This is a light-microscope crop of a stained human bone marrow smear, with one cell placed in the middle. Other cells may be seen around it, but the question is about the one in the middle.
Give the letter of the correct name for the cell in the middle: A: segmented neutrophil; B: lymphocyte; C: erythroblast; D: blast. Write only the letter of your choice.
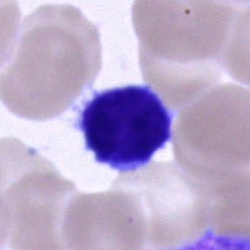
B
